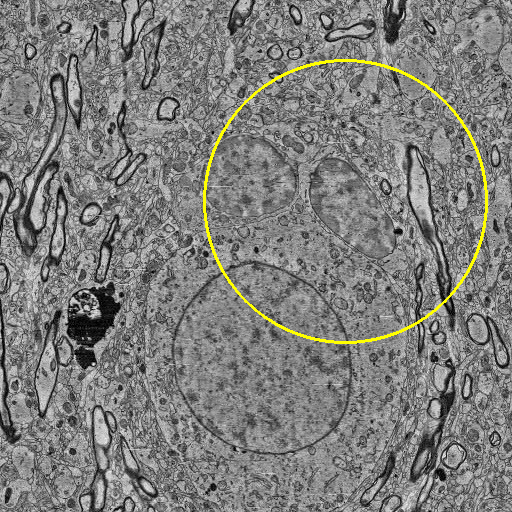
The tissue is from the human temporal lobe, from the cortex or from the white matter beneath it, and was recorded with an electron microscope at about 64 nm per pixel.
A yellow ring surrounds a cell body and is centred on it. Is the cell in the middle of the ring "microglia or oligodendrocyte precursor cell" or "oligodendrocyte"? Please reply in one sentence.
The ring is centred on a microglial cell or oligodendrocyte precursor cell.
